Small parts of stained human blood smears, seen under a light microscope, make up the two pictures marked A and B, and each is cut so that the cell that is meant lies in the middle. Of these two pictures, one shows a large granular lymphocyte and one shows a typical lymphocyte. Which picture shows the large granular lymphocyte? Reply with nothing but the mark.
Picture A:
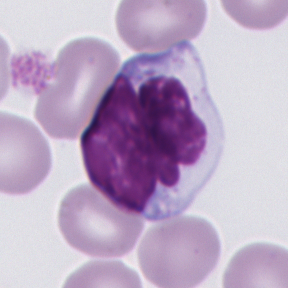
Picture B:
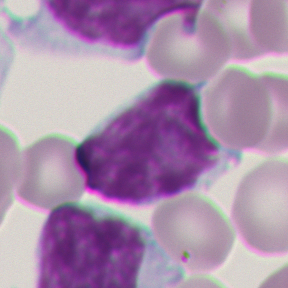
A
